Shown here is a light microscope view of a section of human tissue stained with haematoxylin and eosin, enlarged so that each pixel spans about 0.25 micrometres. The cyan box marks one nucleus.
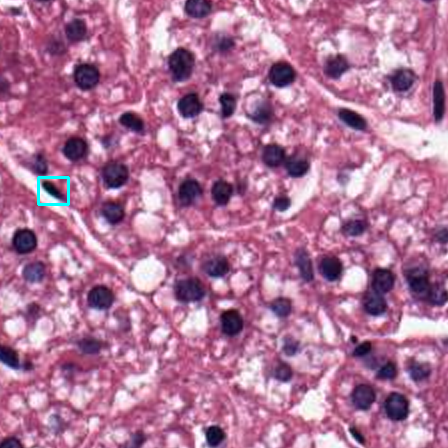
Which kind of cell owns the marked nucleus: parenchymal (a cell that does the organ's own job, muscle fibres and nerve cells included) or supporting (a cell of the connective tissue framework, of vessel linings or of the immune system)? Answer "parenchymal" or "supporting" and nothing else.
supporting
